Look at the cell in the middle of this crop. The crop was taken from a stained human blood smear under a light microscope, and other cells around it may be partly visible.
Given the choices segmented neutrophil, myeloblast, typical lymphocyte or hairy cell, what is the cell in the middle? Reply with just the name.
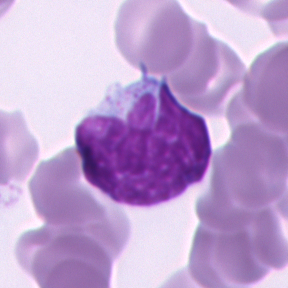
typical lymphocyte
